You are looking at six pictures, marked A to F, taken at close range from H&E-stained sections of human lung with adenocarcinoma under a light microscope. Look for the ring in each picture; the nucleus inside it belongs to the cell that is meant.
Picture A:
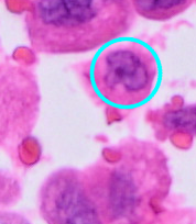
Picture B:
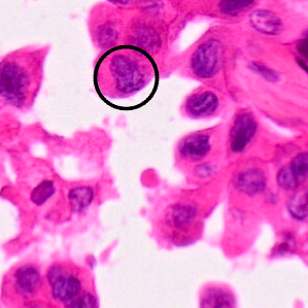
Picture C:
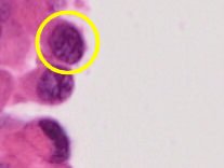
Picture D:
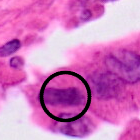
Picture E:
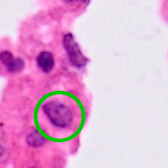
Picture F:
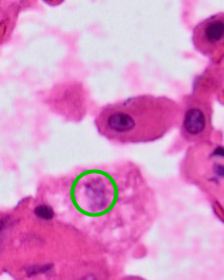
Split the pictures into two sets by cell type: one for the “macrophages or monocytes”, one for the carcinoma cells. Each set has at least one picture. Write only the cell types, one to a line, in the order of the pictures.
carcinoma cell
carcinoma cell
carcinoma cell
carcinoma cell
macrophage or monocyte
macrophage or monocyte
